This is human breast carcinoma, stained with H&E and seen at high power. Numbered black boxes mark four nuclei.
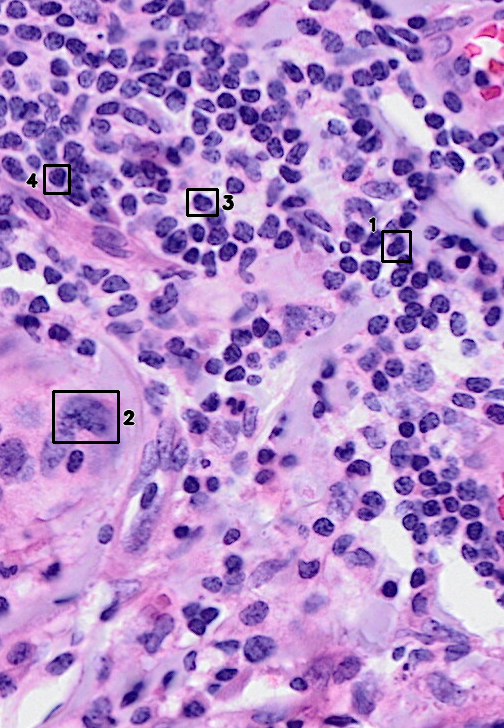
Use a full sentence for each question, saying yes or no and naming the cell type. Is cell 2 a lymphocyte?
No, cell 2 is not a lymphocyte: it is a carcinoma cell.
